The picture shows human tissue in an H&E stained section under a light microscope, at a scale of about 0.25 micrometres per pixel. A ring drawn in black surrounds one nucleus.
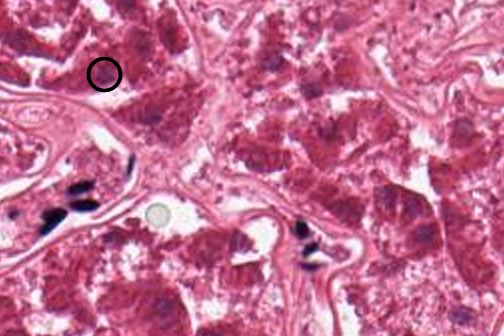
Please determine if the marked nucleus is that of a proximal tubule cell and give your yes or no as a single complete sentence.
Yes, the marked nucleus is located in a proximal tubule cell.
